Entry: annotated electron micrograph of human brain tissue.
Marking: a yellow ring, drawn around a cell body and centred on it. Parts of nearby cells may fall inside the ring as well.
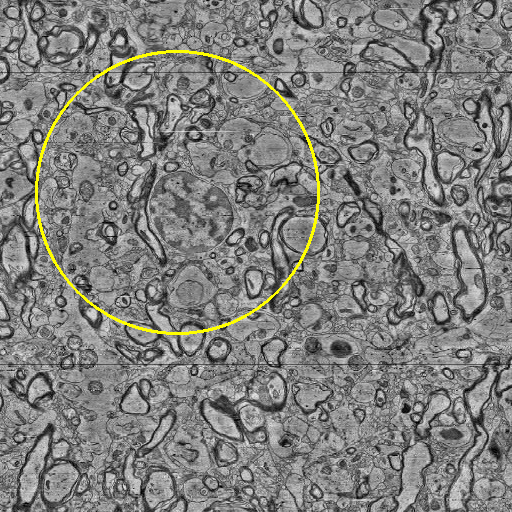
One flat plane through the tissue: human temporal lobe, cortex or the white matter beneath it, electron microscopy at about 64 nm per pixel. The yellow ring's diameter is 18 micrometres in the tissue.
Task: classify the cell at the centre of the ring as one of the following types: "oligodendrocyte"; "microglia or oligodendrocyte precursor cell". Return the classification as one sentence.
The marked cell is classified as a microglial cell or oligodendrocyte precursor cell.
